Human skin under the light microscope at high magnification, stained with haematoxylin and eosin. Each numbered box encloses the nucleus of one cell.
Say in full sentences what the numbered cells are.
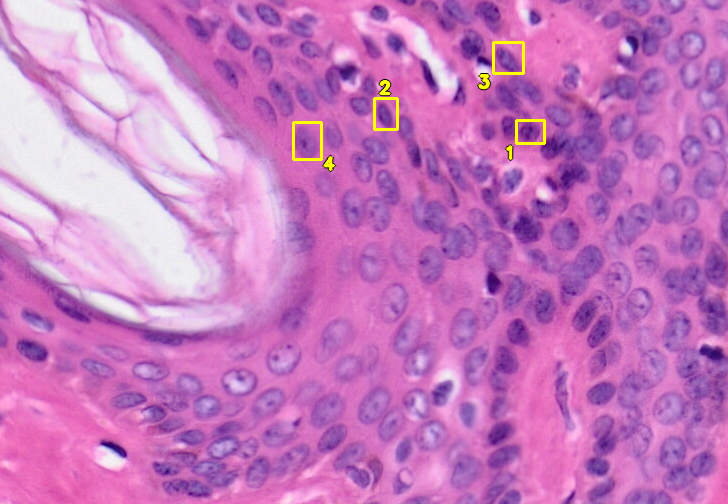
Cell 1 is a basal keratinocyte, cell 2 is a basal keratinocyte, cell 3 is a basal keratinocyte and cell 4 is a suprabasal keratinocyte.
